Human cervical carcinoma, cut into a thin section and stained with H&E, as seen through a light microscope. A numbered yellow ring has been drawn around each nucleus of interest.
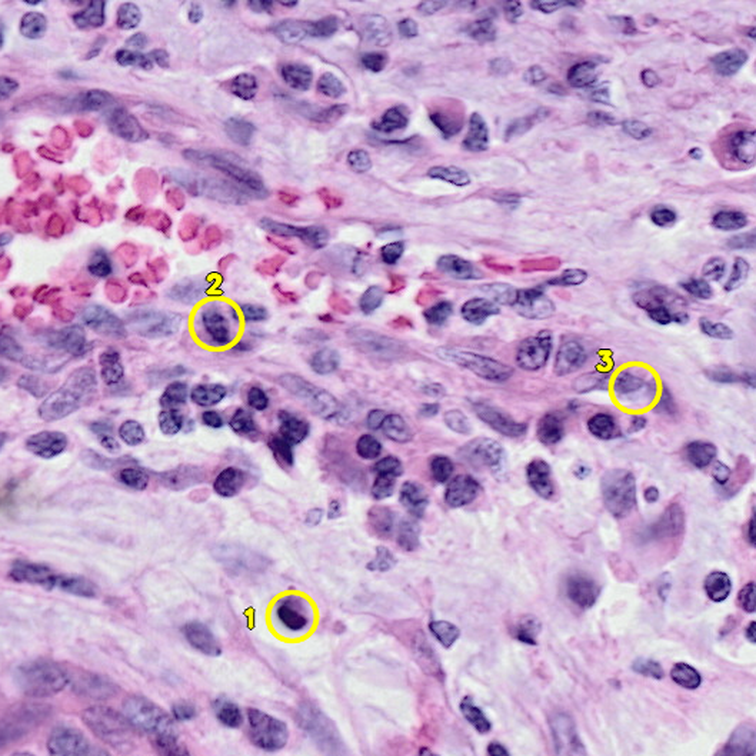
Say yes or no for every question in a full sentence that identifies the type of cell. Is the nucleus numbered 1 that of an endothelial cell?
No, the cell indicated by 1 is a lymphocyte instead of an endothelial cell.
